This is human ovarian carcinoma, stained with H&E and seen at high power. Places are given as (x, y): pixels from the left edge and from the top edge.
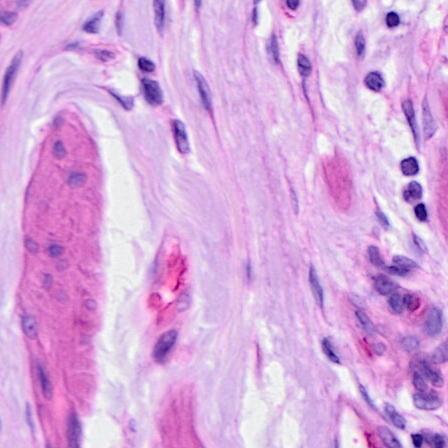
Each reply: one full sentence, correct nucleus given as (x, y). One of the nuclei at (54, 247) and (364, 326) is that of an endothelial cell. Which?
At (364, 326) lies the nucleus that belongs to an endothelial cell.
